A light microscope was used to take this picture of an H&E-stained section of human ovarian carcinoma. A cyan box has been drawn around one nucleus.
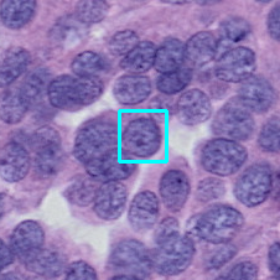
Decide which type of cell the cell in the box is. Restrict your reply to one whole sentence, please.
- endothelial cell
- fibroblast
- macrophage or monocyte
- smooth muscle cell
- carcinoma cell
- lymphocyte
Placed in its cell category, the cell in the box is a carcinoma cell.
